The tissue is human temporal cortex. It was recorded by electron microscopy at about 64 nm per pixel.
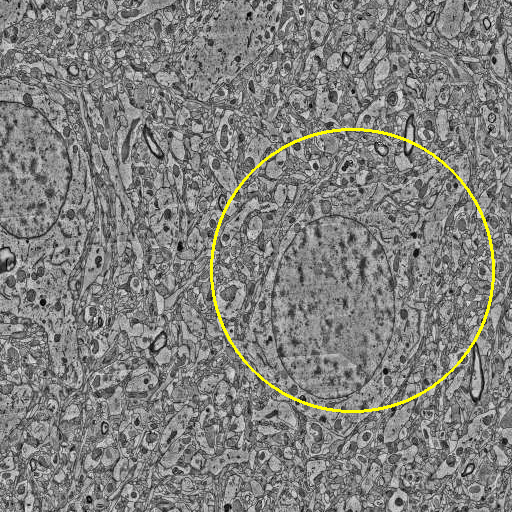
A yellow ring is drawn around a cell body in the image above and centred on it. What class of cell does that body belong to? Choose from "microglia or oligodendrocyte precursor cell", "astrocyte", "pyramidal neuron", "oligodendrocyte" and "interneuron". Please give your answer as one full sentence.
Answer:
The yellow ring above is centred on the cell body of a pyramidal neuron.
